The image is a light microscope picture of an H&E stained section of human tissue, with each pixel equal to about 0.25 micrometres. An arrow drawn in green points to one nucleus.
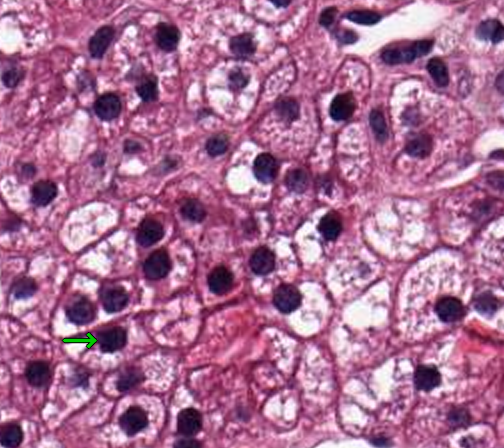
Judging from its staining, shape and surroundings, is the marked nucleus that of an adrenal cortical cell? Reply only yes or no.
yes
